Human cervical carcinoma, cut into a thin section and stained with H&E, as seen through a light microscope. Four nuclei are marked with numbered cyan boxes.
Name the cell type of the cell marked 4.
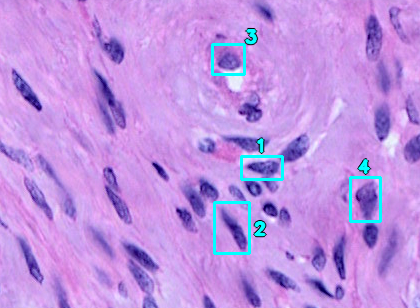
fibroblast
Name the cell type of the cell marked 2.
fibroblast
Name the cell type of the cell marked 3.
endothelial cell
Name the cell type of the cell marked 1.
fibroblast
